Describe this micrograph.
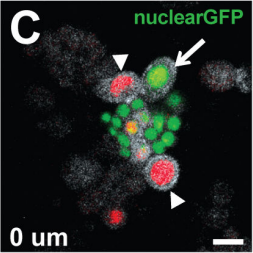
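The large cells have big round nuclei, red in two of them and green in one, each surrounded by a thin white cortical rim. Scattered small red nuclei lie apart from the cluster.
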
